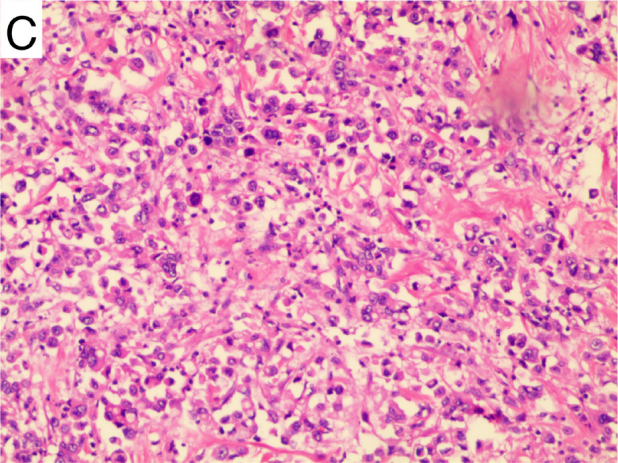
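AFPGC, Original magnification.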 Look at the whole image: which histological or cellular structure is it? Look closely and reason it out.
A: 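Tumour cells form a loose, mesh-like network with small empty spaces. Strands of pink fibrillary material run between the cells. The answer: Reticular patterns.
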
